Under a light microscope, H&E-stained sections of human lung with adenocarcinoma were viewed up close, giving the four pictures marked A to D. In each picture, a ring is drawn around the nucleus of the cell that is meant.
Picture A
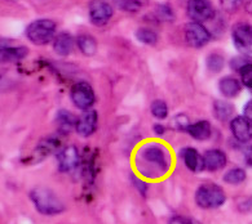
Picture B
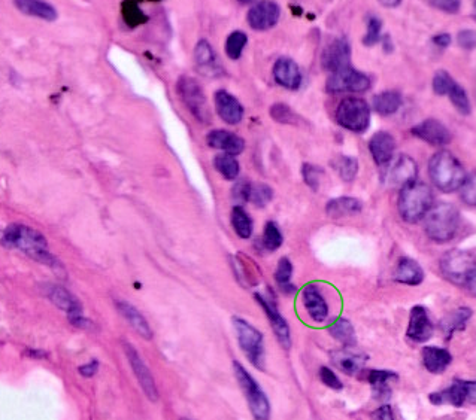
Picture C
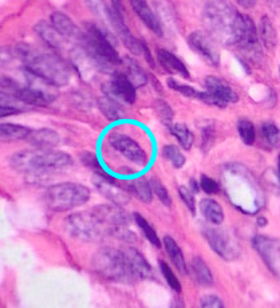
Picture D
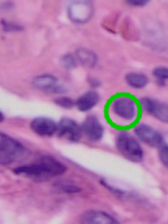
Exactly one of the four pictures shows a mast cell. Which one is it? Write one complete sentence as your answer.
The cell in picture B is the mast cell.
